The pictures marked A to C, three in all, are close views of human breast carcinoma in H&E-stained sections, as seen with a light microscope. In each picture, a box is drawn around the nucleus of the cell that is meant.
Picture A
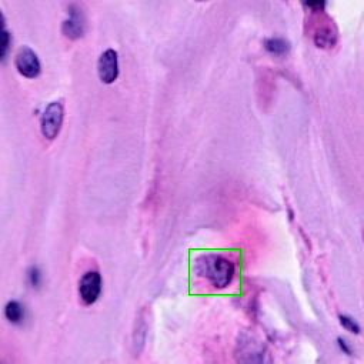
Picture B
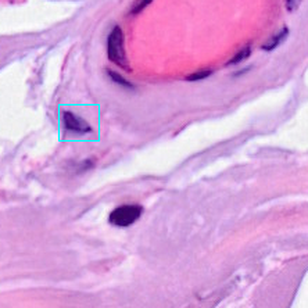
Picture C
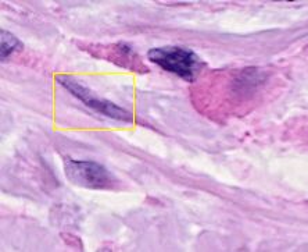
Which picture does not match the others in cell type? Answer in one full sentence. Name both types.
Picture A is the odd one out: it shows a mast cell, while the others show fibroblasts.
